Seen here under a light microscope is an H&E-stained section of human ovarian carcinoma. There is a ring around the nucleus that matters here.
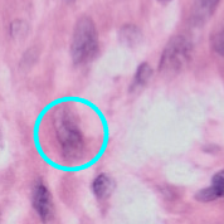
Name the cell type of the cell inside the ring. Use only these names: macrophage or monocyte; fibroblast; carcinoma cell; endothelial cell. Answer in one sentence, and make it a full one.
Right, so the cell inside the ring is a fibroblast, to answer that.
